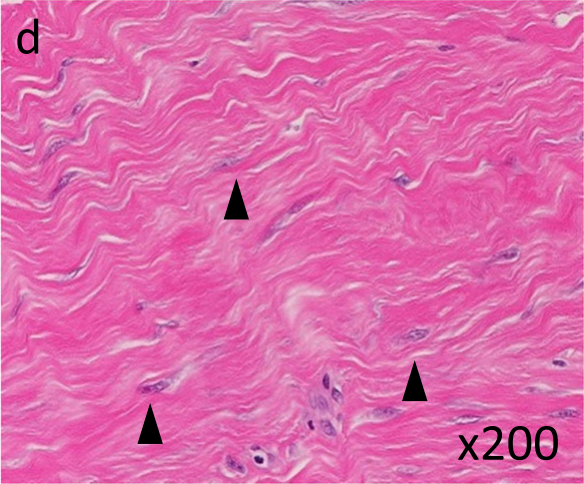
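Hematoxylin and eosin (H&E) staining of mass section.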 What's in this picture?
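Dense fibrous tissue with scattered spindle cells lying among wavy, bright pink collagen bundles. The fibres run in undulating parallel streams with narrow clear clefts between them. A few rounder nuclei cluster near the lower middle of the field. No large cells with many nuclei are seen.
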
